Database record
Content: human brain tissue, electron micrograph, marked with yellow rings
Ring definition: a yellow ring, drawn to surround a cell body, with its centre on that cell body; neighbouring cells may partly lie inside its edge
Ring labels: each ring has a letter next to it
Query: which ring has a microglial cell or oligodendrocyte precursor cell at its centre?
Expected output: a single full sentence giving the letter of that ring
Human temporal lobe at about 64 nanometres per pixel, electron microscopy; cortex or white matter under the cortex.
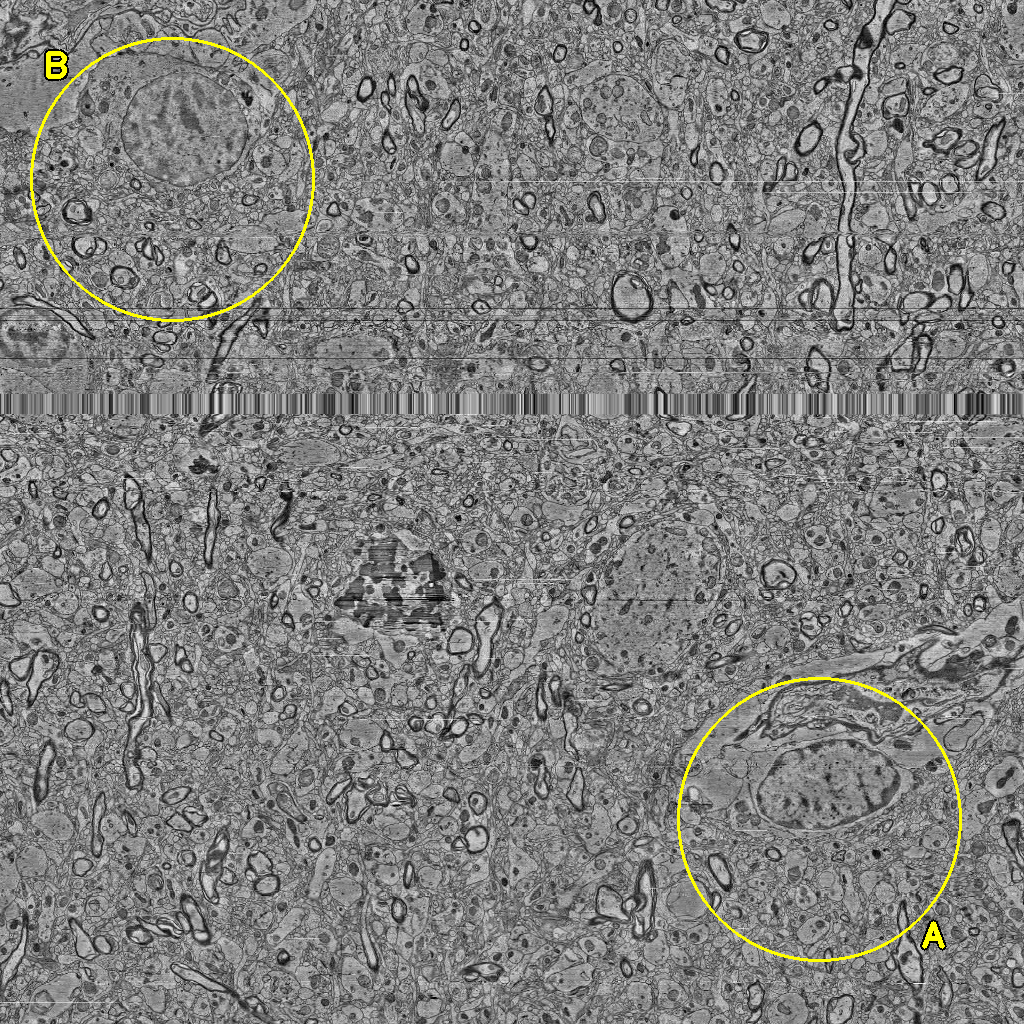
In the picture, the cell being queried lies at the centre of ring A.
